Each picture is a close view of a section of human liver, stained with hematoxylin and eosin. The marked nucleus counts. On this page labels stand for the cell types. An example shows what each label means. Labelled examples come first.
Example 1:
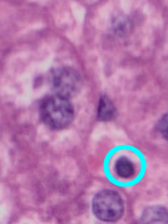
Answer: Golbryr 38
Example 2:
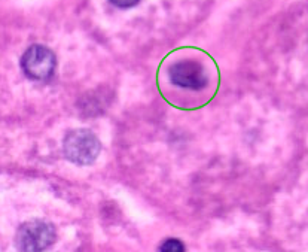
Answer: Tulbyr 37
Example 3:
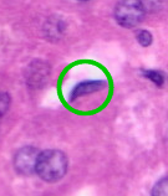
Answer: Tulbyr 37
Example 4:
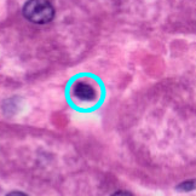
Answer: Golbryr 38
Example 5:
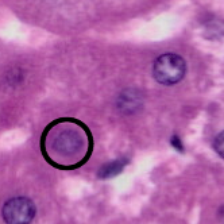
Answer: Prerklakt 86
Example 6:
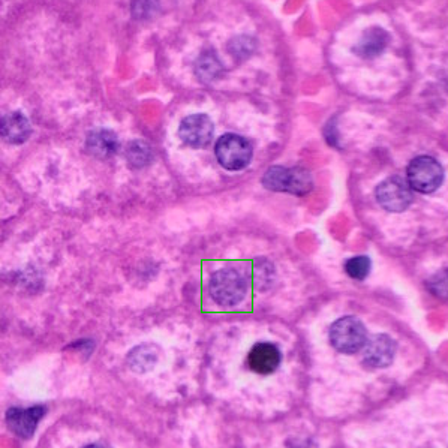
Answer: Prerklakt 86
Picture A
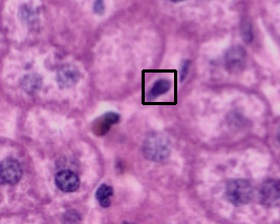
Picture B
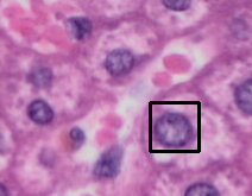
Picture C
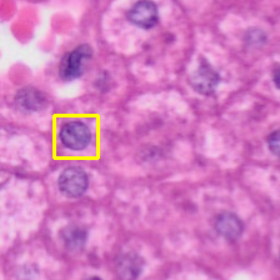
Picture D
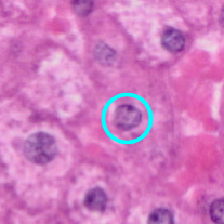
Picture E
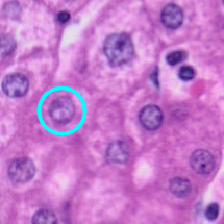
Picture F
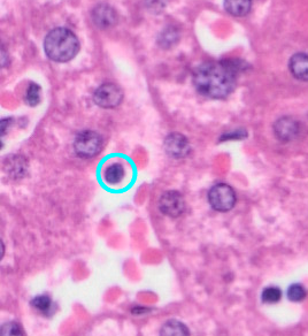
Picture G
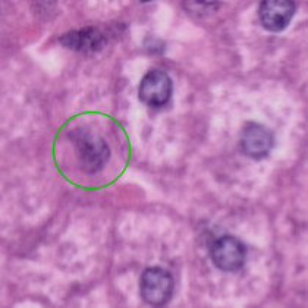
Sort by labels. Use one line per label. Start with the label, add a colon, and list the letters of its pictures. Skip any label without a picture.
Golbryr 38: A, F
Tulbyr 37: G
Prerklakt 86: B, C, D, E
